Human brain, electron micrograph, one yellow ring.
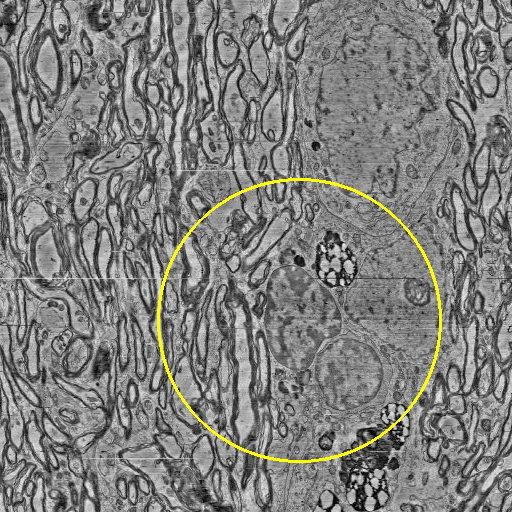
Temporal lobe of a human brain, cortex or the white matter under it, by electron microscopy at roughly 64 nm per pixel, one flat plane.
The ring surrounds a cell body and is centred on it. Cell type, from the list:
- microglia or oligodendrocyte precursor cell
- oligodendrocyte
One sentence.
The yellow ring circles a microglial cell or oligodendrocyte precursor cell.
